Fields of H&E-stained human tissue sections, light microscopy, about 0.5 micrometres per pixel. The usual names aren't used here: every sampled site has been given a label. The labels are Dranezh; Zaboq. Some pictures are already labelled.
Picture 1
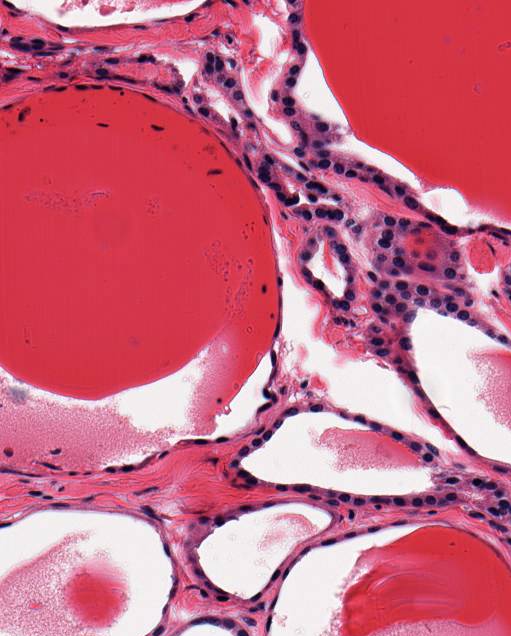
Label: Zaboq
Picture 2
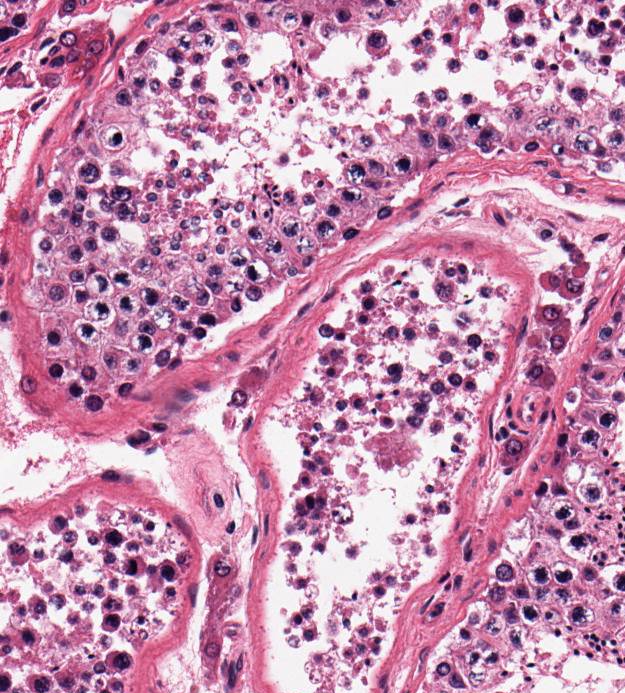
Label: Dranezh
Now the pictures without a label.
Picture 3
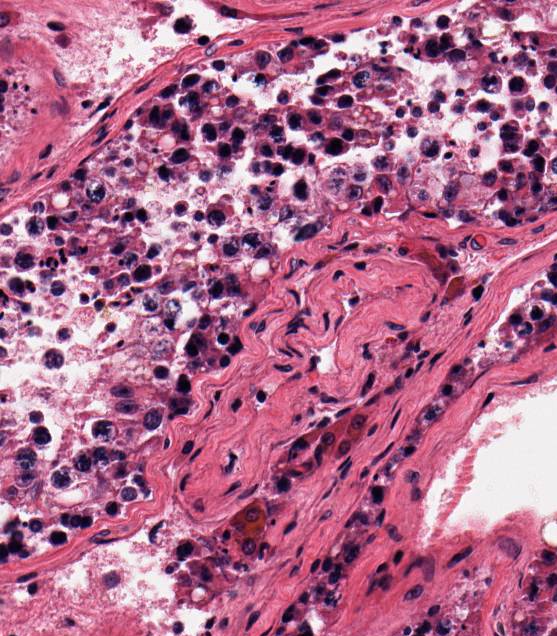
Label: Dranezh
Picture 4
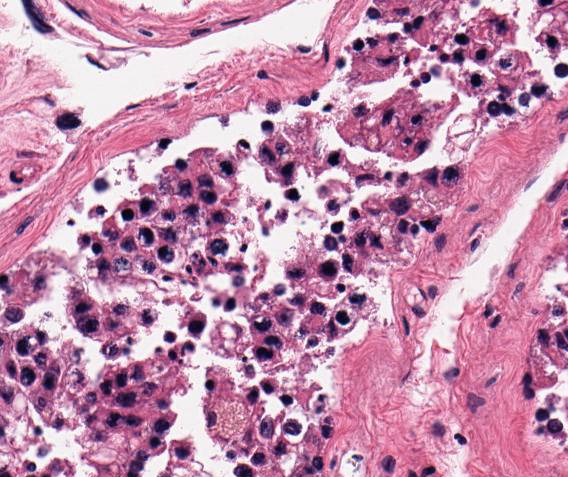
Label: Dranezh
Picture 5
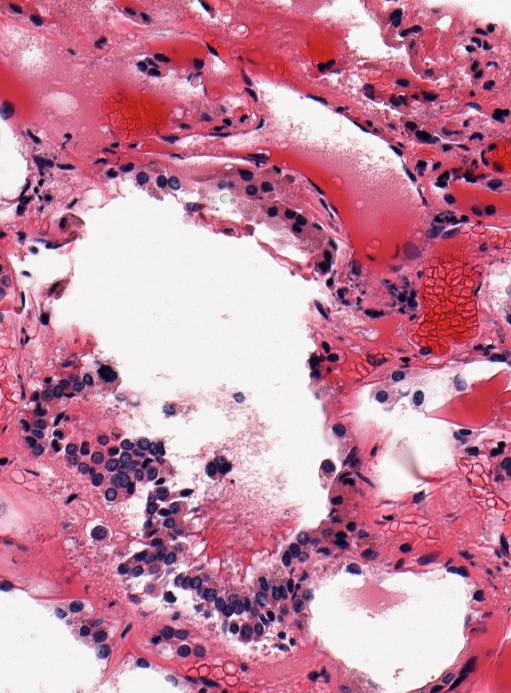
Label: Zaboq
